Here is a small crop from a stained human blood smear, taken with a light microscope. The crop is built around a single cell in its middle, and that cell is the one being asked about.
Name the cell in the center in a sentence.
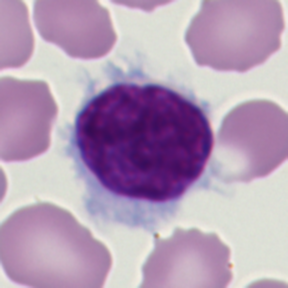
The single cell at the center of the crop is a hairy cell.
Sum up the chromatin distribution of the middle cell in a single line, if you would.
The chromatin is fine; coarse clumps are not a feature here.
